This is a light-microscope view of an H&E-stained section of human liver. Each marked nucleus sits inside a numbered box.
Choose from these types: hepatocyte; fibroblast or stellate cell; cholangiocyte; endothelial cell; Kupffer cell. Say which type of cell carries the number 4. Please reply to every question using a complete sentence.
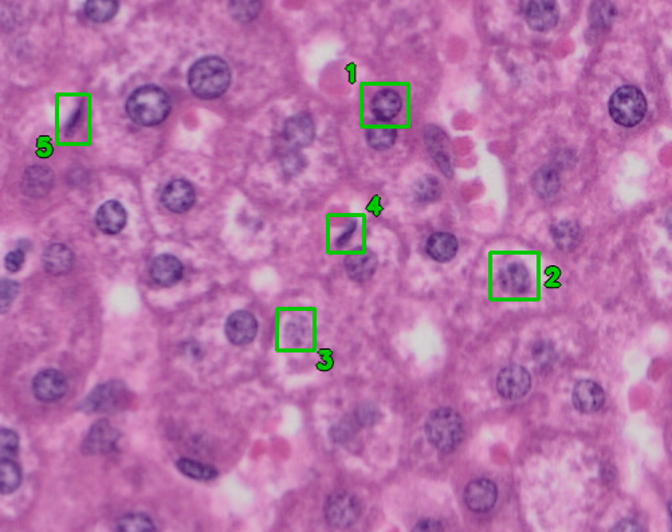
The marked cell bearing number 4 is an endothelial cell.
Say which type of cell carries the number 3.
Denoted by the label 3 in the section is a hepatocyte.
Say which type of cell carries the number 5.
Numbered cell 5 is an endothelial cell in this tissue section.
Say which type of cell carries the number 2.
Cell 2, as marked in the section, is a hepatocyte.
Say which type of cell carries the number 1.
Identified as a hepatocyte is the cell bearing the number 1.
